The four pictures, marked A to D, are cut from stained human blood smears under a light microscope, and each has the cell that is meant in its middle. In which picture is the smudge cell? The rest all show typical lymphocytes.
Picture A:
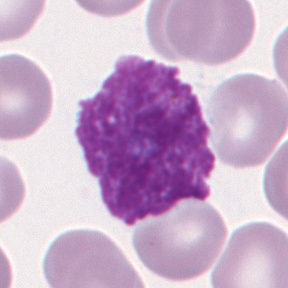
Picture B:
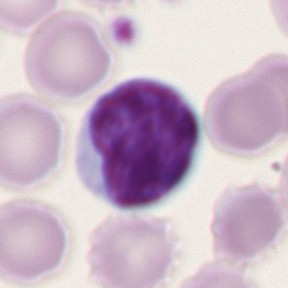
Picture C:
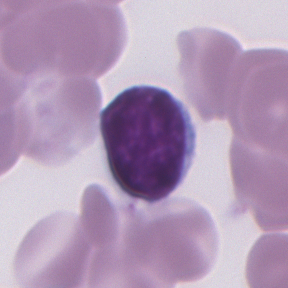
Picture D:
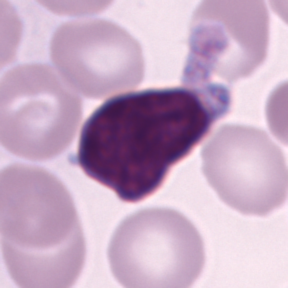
A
